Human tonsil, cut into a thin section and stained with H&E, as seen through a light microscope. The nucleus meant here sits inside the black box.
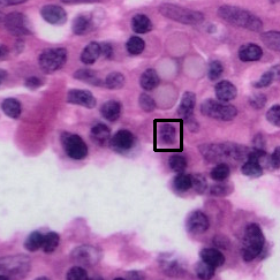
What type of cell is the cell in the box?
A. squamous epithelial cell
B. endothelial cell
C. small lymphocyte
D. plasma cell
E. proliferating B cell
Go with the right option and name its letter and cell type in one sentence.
Option D is accurate, for the cell in the box is a plasma cell.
